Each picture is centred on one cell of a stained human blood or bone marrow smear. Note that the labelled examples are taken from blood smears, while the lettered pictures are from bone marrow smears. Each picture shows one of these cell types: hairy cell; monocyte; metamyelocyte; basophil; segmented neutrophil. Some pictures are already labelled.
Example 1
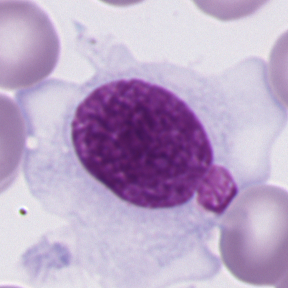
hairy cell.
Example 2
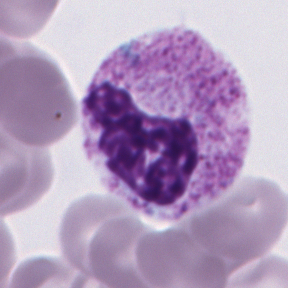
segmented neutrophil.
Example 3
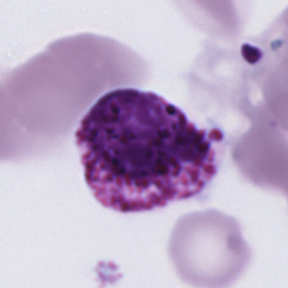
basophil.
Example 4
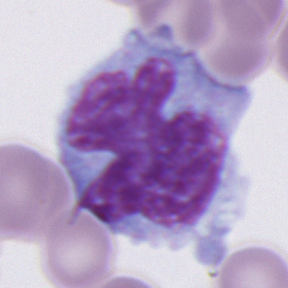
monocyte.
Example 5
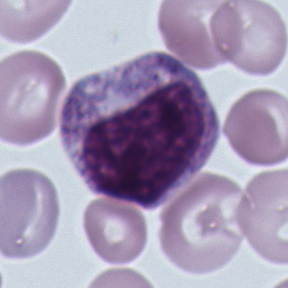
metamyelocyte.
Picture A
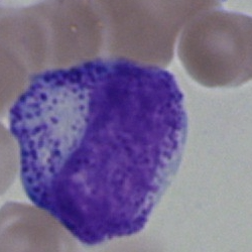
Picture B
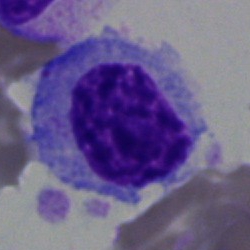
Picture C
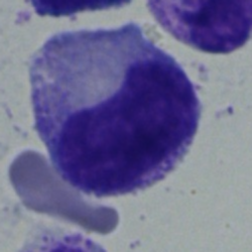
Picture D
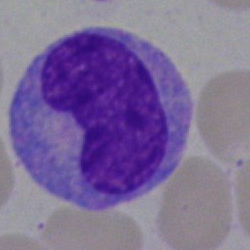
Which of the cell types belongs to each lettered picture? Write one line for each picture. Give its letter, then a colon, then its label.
A: metamyelocyte.
B: hairy cell.
C: metamyelocyte.
D: monocyte.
